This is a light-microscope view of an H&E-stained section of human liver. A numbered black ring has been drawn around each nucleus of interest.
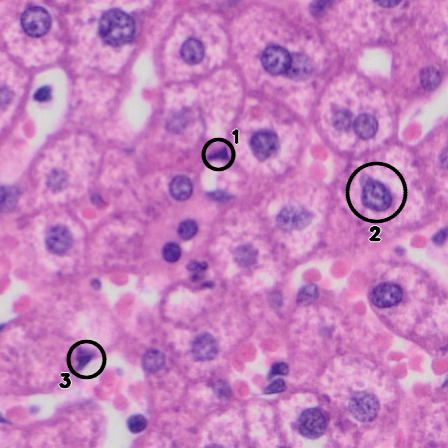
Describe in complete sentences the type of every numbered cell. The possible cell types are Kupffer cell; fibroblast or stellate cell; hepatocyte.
Cell 1 is a fibroblast or stellate cell, cell 2 is a hepatocyte and cell 3 is a fibroblast or stellate cell.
